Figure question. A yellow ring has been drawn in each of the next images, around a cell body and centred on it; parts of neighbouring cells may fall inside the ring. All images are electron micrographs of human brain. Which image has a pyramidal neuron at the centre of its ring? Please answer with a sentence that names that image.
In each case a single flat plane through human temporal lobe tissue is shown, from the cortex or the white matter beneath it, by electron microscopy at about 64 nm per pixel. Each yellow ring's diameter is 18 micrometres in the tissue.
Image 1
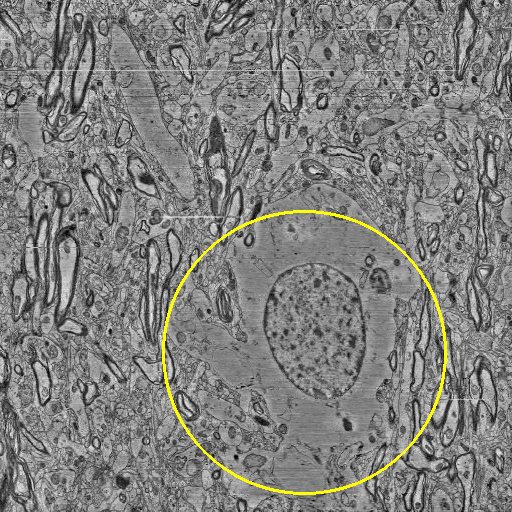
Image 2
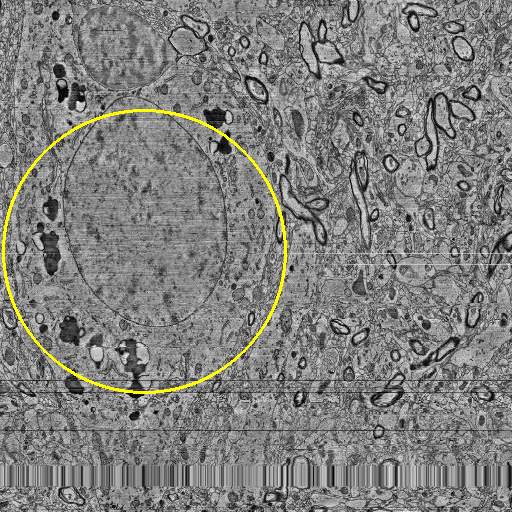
The cell at the centre of the ring in Image 2 is of that kind.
